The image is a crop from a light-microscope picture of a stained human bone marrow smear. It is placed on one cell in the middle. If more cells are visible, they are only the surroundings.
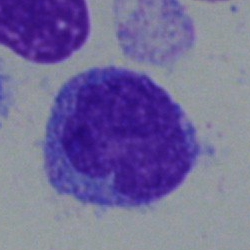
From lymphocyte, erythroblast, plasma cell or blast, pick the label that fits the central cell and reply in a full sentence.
The central cell in this smear crop is a blast.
